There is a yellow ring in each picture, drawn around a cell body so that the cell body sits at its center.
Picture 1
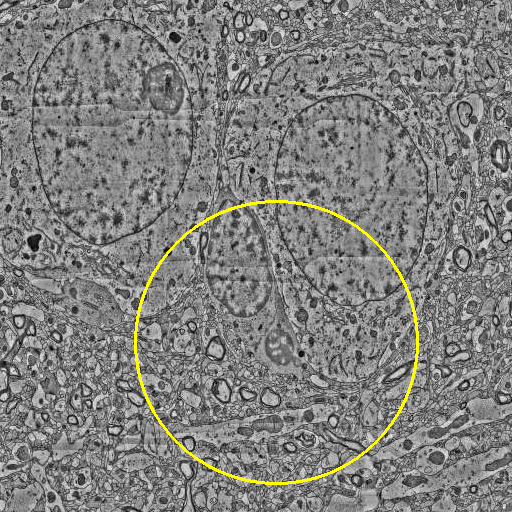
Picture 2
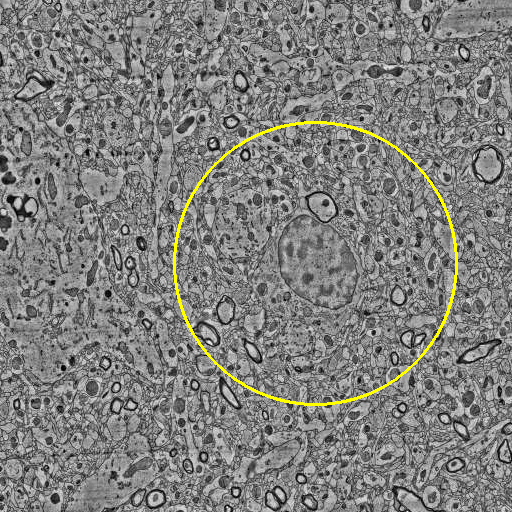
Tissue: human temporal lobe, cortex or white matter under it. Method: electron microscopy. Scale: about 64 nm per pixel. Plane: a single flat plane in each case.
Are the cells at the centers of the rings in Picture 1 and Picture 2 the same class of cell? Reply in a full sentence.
Yes, the two cells are the same class of cell.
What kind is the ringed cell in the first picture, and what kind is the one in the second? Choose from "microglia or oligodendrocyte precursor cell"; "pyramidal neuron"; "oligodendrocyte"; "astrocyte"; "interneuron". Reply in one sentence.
The ring centre holds an oligodendrocyte in each of the two pictures.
